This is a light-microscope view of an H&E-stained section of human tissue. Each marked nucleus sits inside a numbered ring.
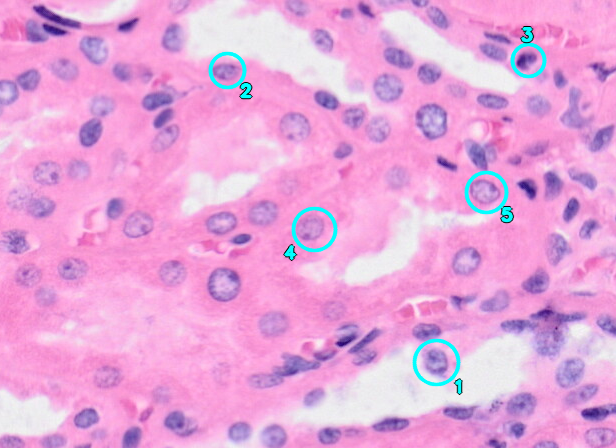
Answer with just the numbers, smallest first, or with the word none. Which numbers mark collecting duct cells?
3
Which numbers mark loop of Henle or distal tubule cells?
1, 2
